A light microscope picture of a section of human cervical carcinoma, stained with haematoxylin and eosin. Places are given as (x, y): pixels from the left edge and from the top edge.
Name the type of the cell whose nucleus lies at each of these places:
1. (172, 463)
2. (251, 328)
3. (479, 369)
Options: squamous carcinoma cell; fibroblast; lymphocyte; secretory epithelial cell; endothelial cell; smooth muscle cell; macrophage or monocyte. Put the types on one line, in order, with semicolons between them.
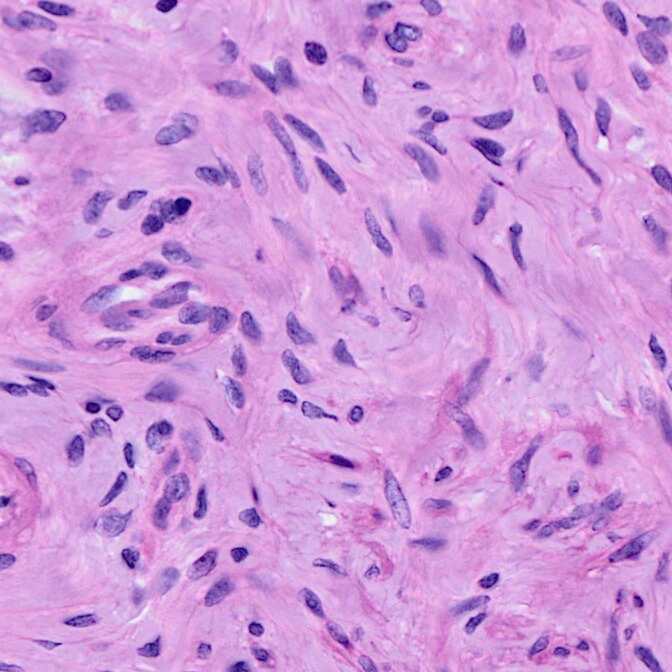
endothelial cell; fibroblast; smooth muscle cell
